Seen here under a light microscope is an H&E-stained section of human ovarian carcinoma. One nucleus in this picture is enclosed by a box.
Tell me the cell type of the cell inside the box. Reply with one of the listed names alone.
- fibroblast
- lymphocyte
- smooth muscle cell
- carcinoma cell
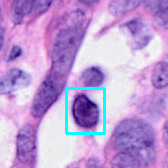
carcinoma cell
